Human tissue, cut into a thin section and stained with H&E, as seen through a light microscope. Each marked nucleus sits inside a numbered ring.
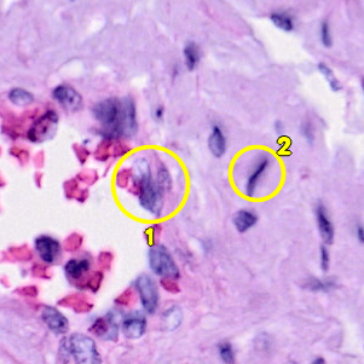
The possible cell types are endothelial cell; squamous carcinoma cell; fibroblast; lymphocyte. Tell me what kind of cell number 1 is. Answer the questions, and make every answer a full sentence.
The cell numbered 1 represents an endothelial cell.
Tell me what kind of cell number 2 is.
The label 2 in this section denotes a fibroblast.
